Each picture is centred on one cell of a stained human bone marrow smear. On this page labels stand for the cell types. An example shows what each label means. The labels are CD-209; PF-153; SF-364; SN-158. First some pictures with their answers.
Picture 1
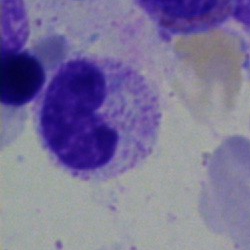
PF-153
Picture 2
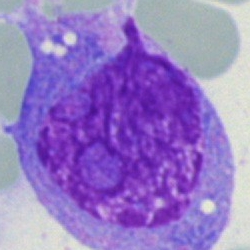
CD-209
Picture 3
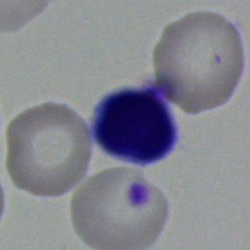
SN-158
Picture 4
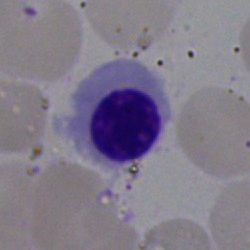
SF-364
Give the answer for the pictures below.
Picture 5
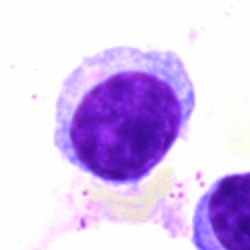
SN-158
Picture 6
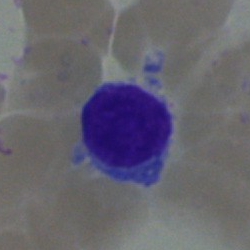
SN-158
